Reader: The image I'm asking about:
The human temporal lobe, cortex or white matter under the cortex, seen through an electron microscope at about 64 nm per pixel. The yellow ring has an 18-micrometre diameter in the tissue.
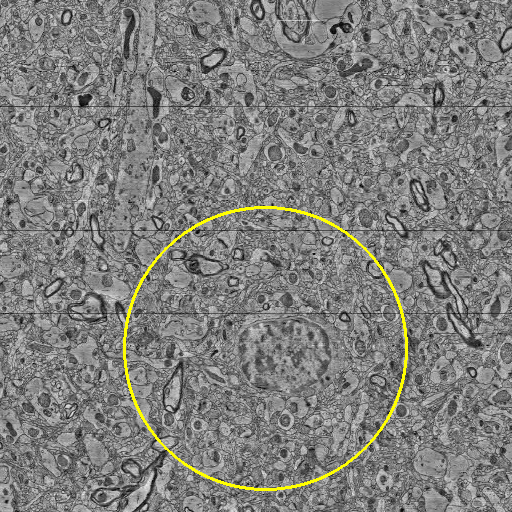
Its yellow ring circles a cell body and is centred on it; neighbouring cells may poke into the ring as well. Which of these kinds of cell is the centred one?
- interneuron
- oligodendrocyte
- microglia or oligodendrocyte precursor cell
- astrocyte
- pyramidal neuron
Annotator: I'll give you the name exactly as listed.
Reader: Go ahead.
oligodendrocyte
